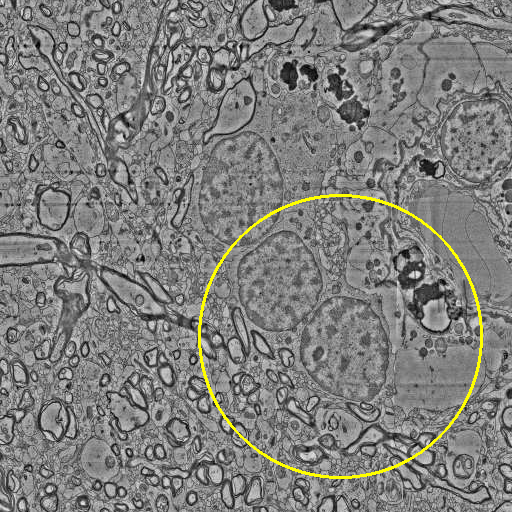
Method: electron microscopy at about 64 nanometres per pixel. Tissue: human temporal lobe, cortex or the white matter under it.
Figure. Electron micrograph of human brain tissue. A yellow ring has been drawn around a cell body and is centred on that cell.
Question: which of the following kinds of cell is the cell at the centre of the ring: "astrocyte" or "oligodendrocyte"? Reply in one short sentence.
The cell at the centre of the ring is an oligodendrocyte.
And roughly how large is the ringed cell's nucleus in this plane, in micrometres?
Approximately 7 x 6 micrometres in this plane.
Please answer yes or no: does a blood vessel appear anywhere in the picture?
Yes.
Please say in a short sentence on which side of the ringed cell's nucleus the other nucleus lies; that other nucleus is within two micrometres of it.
That other nucleus is to the upper left of it.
